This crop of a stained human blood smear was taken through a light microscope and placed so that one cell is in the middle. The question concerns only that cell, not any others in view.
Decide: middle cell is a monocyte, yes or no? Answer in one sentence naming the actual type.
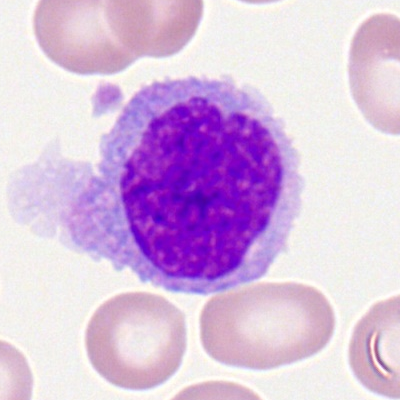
Yes, the cell found in the middle is a monocyte.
